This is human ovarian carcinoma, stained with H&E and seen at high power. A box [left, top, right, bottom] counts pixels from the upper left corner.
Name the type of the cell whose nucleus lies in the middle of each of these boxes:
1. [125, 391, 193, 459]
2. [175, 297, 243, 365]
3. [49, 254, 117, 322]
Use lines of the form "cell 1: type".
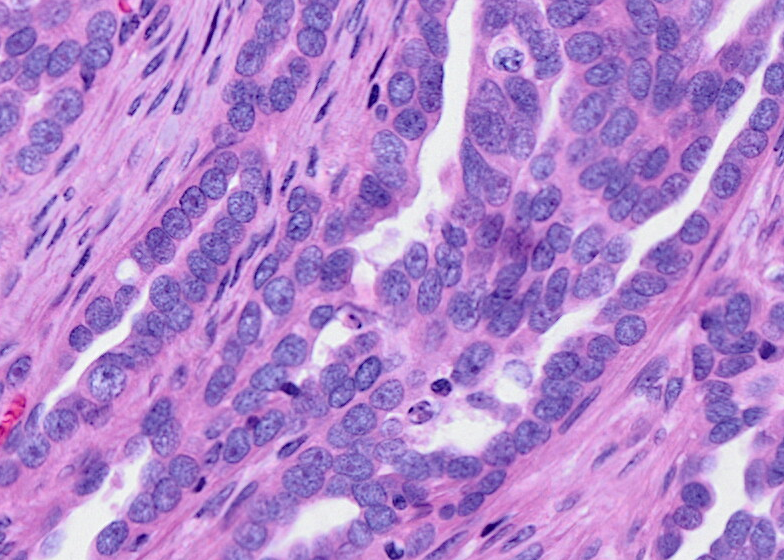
cell 1: carcinoma cell
cell 2: fibroblast
cell 3: fibroblast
